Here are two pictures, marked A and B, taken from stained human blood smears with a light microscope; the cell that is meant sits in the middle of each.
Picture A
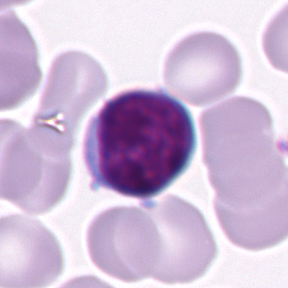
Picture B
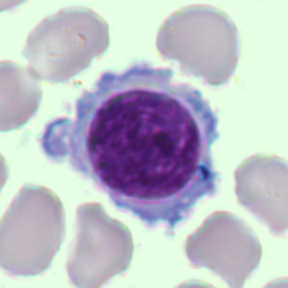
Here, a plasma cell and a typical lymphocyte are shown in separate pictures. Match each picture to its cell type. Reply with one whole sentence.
The cell in picture A is a typical lymphocyte, and the one in picture B is a plasma cell.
